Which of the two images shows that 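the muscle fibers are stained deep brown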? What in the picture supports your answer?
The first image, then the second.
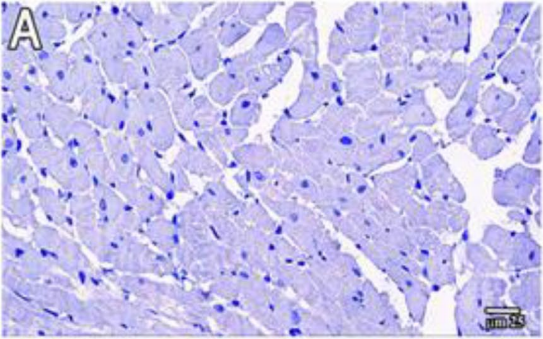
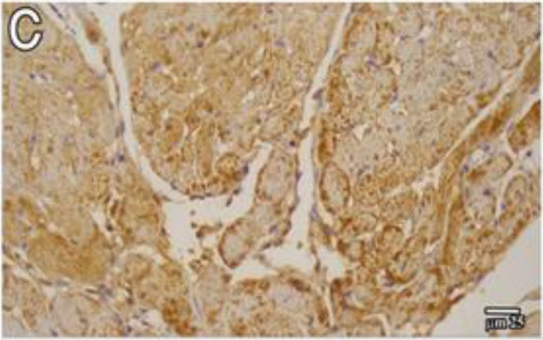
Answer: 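First image: fibers are pale blue throughout with no brown color.
Hence: the second image.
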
